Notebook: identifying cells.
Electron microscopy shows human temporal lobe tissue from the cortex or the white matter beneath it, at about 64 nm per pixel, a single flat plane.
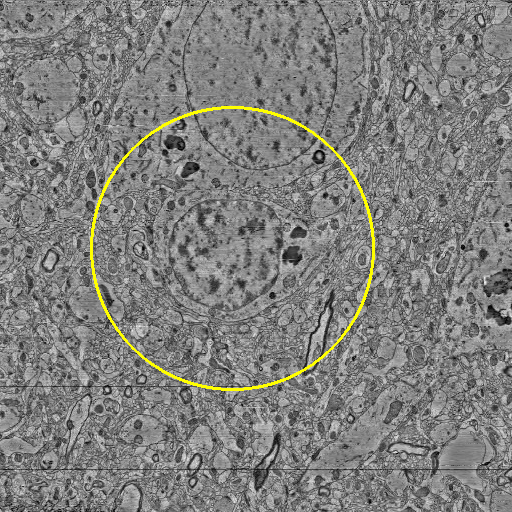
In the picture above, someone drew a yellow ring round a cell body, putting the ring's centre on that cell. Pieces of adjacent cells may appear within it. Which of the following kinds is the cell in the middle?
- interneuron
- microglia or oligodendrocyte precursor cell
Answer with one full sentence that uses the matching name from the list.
In this picture, the yellow ring is centred on the body of an interneuron.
